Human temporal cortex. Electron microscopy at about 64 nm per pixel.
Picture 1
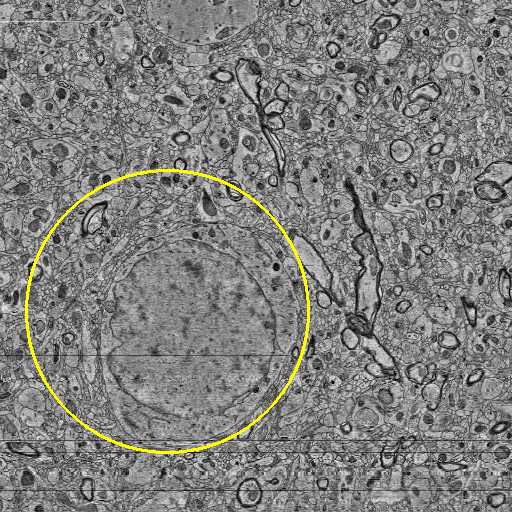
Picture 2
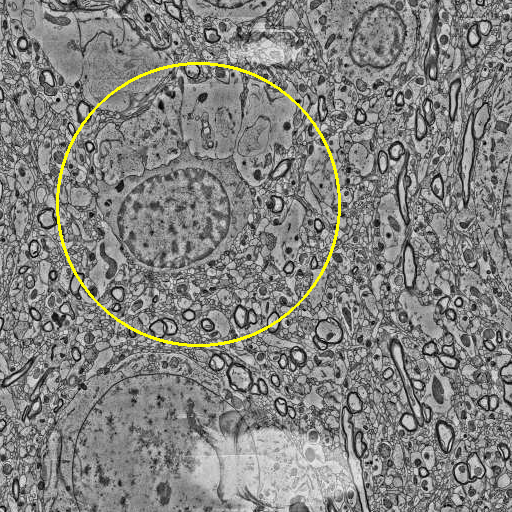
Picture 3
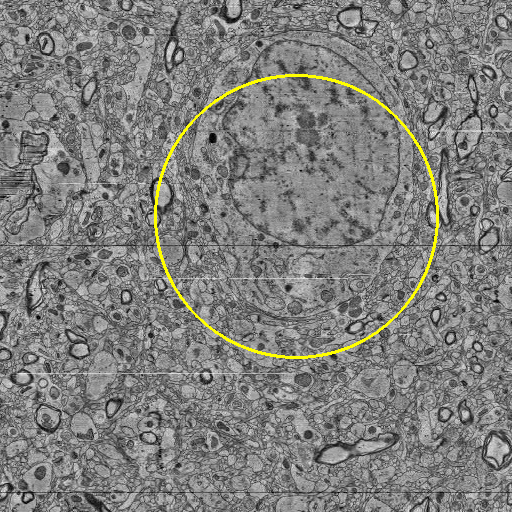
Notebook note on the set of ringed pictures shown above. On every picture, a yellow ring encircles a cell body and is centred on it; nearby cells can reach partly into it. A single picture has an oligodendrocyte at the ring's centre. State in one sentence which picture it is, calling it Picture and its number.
Picture 2 is the one whose ring is centred on the sought cell.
